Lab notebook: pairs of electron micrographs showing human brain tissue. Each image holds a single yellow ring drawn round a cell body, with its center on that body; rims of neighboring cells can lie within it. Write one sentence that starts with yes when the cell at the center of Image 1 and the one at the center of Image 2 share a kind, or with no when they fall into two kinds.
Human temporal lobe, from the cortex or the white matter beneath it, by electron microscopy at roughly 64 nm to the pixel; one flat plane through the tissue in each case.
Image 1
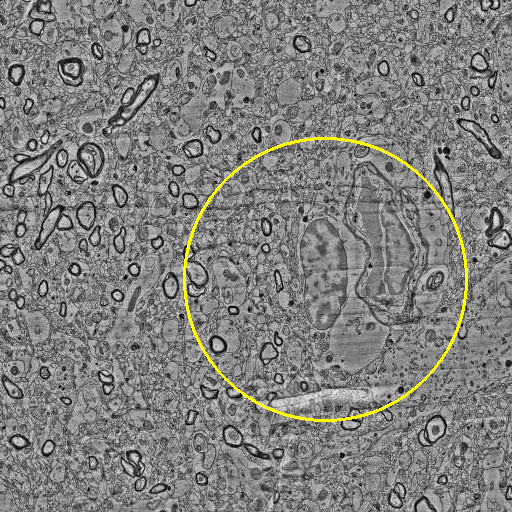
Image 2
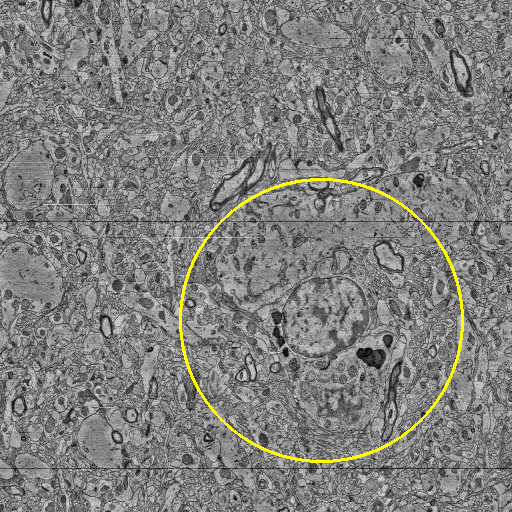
Yes, the centered cell in Image 1 and the centered cell in Image 2 are of one kind.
